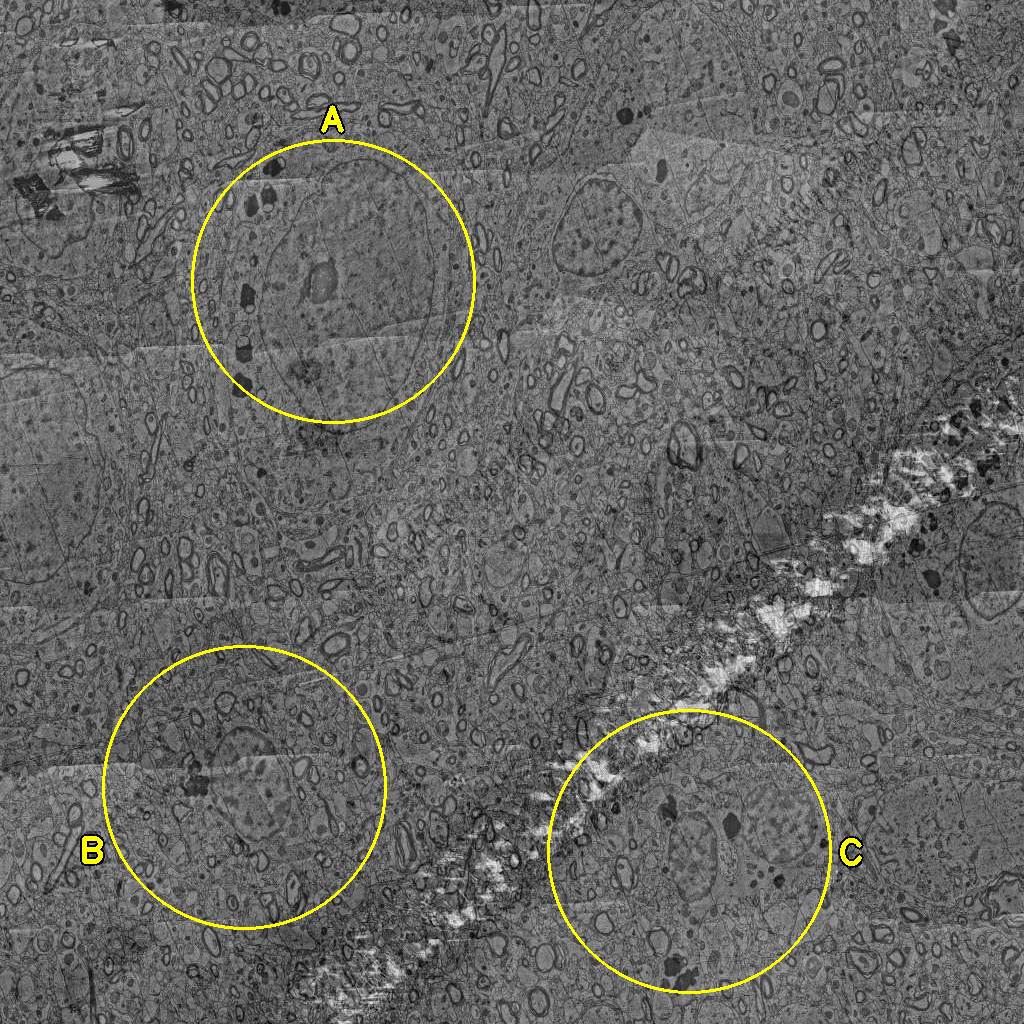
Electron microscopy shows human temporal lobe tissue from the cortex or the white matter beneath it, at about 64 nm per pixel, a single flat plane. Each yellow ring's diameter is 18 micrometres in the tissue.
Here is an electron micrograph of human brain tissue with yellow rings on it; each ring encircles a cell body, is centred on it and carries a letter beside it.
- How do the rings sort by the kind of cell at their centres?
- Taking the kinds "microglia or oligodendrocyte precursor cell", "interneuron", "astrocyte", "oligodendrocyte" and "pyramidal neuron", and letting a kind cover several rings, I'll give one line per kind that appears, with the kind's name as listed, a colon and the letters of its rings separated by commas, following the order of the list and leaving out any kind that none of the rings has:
oligodendrocyte: B, C
pyramidal neuron: A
